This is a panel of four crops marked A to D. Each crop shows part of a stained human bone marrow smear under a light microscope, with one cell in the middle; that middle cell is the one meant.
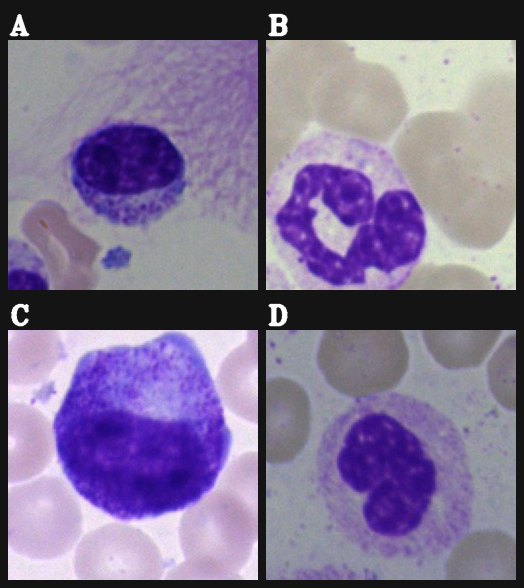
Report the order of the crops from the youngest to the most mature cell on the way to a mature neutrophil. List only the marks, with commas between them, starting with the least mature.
C, A, D, B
